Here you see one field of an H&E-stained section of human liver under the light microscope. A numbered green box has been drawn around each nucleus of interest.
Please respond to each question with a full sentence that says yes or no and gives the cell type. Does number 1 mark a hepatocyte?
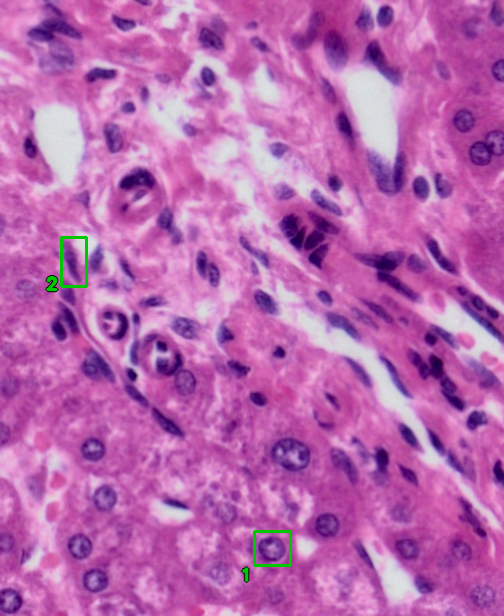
Yes, the cell numbered 1 in this tissue is a hepatocyte.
